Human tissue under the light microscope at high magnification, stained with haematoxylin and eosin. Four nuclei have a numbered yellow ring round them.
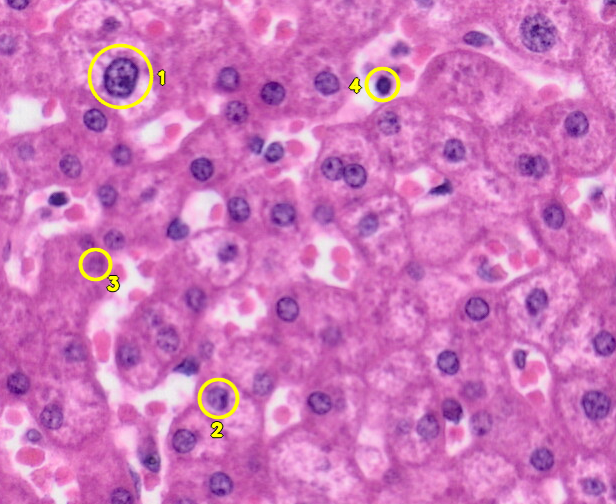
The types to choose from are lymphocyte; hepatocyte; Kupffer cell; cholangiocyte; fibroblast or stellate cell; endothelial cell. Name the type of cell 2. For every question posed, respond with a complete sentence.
Here the cell numbered 2 is a hepatocyte.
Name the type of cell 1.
Nucleus 1 in this section belongs to a hepatocyte.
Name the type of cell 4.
The nucleus marked 4 is the nucleus of a lymphocyte.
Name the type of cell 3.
The cell given label 3 is a hepatocyte.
